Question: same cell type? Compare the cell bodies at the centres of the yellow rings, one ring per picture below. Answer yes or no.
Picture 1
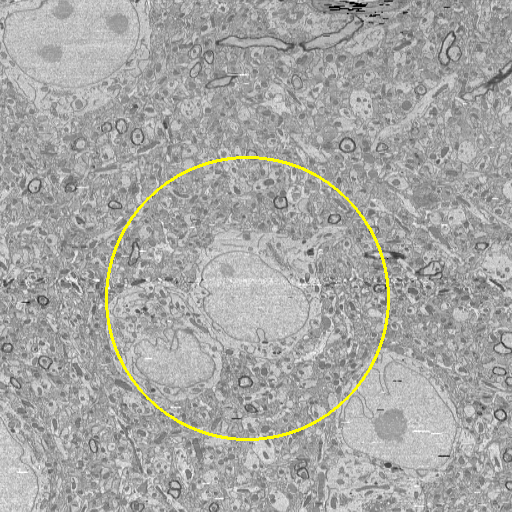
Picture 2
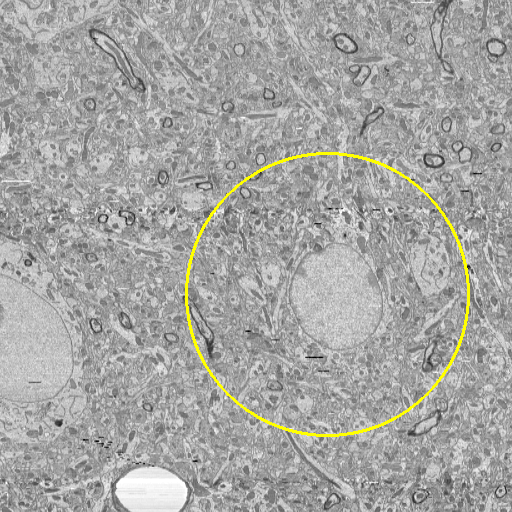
no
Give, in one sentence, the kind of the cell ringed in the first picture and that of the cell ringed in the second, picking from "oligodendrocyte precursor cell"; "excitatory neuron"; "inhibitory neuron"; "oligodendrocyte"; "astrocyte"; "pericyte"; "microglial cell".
For the first picture it is an excitatory neuron; for the second, an astrocyte.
